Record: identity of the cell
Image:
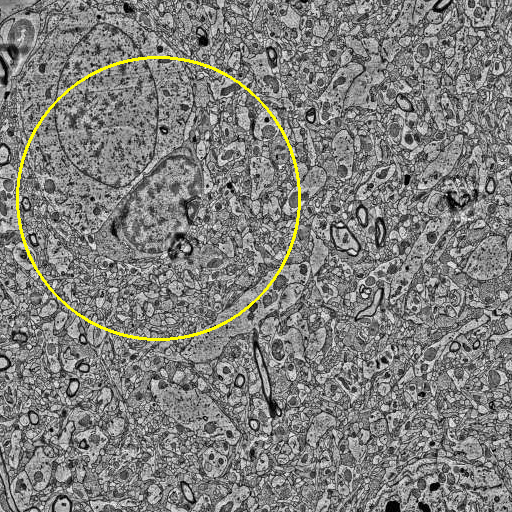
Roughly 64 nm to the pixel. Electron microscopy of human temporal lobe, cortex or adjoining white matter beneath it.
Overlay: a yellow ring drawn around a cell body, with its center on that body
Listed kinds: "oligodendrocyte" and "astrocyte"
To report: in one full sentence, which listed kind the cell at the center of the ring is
In the image, the cell body at the ring's center belongs to an oligodendrocyte.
